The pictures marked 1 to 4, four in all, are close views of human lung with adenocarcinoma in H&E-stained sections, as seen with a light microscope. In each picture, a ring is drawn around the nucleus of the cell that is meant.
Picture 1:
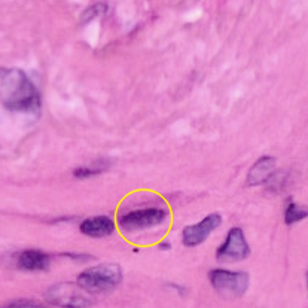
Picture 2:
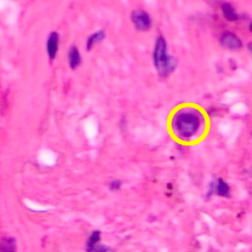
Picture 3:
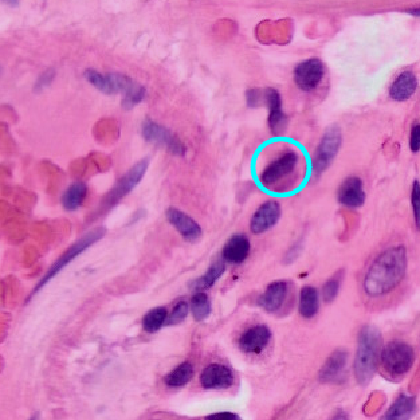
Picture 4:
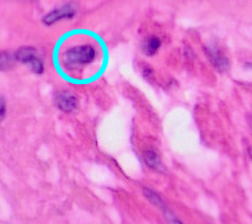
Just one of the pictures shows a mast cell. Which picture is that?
4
